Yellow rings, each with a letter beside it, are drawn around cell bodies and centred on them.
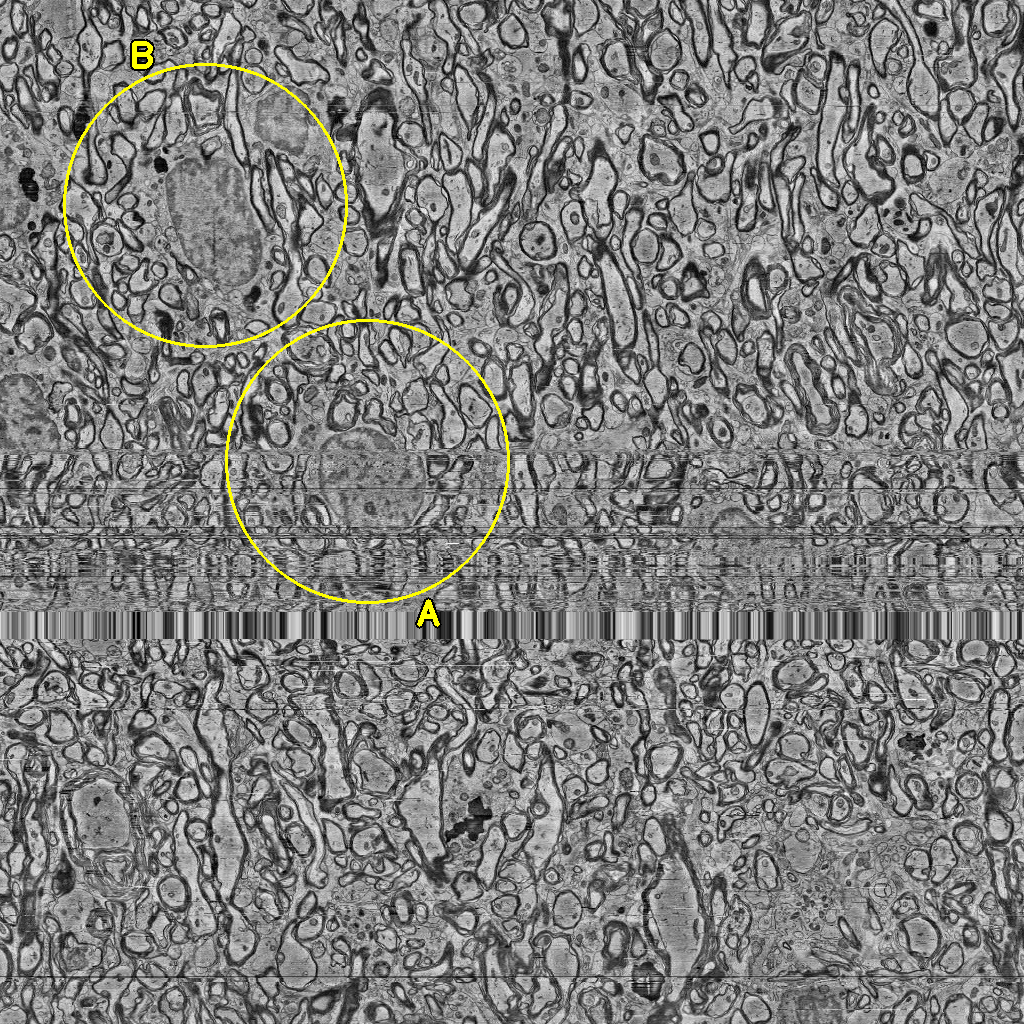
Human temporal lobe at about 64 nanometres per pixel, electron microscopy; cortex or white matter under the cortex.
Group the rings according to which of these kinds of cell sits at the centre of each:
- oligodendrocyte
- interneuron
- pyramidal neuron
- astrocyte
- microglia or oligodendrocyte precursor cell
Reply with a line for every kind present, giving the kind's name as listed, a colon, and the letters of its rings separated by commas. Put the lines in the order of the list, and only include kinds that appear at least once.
oligodendrocyte: A, B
